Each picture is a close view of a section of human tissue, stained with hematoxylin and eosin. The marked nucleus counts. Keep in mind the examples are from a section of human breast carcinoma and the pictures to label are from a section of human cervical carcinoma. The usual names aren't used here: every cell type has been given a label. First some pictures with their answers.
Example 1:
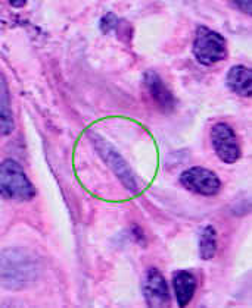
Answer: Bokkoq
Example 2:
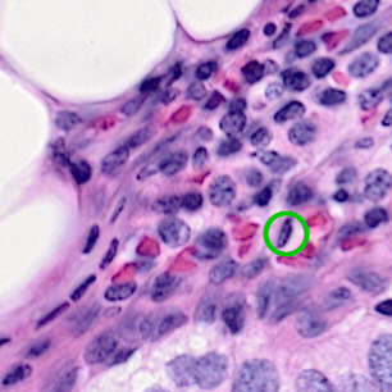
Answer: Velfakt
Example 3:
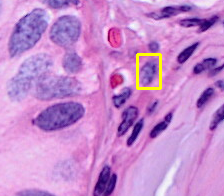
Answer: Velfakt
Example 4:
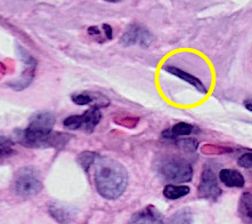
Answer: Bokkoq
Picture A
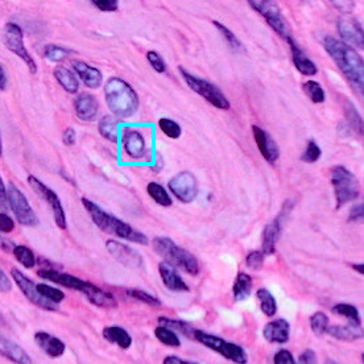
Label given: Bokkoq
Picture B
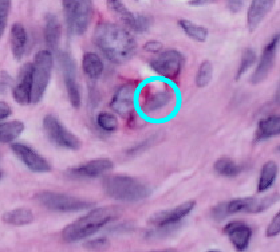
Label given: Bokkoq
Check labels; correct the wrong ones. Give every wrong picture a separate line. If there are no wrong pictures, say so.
A: change Bokkoq to Velfakt
B: change Bokkoq to Velfakt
